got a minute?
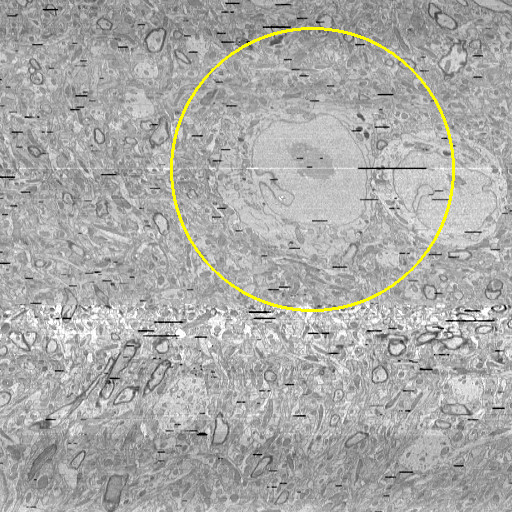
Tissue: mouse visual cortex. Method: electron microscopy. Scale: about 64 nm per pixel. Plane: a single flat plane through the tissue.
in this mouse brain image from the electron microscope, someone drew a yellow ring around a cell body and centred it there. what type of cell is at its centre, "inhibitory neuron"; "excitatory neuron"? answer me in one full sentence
It's an excitatory neuron at the middle of that yellow ring in the shot.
